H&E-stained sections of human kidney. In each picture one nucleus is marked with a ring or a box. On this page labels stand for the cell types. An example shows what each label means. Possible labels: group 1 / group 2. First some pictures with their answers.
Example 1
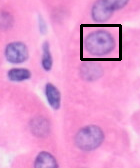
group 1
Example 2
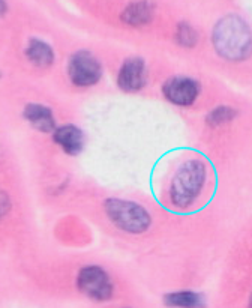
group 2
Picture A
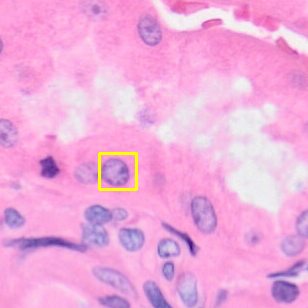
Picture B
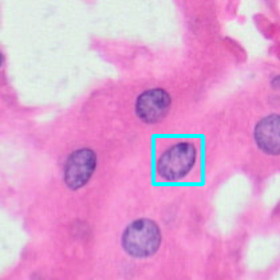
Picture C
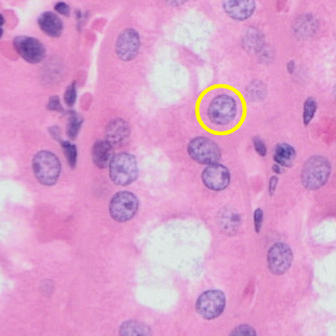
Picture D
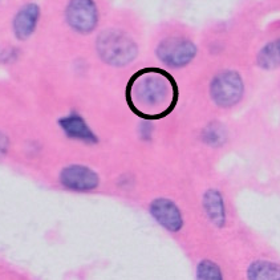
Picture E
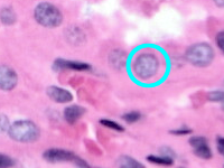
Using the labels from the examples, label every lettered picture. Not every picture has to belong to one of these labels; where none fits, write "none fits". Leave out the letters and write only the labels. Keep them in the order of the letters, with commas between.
group 1, group 1, group 1, group 2, group 2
